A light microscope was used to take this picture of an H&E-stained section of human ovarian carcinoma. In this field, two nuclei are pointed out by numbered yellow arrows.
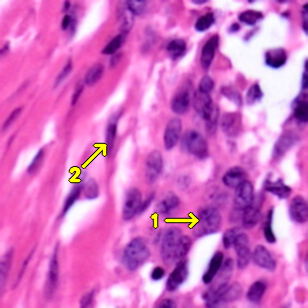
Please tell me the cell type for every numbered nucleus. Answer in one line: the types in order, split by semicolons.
carcinoma cell; fibroblast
